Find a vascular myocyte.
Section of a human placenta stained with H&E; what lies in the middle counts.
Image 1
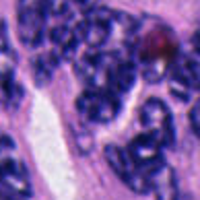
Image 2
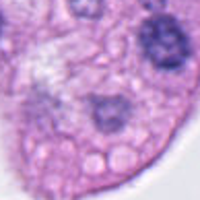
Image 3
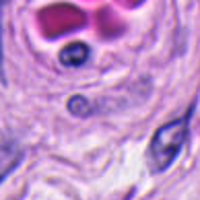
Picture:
3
